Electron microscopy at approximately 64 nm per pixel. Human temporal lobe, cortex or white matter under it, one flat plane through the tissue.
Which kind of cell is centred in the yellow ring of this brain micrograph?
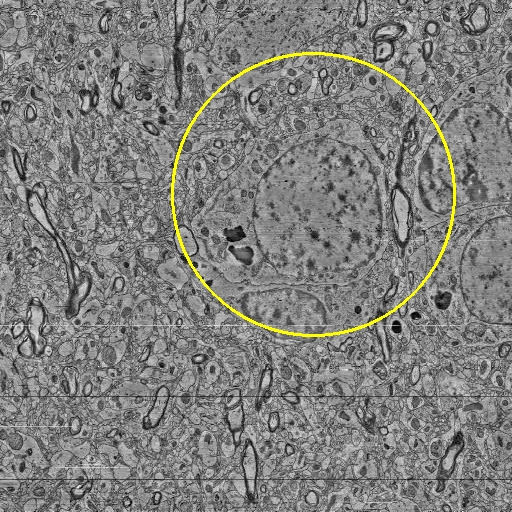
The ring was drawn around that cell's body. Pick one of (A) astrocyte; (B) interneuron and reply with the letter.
B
